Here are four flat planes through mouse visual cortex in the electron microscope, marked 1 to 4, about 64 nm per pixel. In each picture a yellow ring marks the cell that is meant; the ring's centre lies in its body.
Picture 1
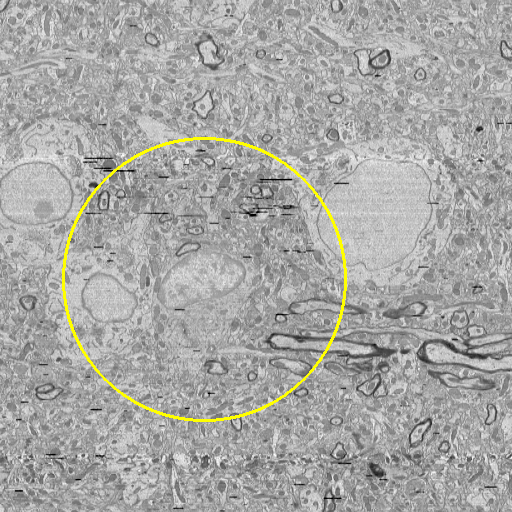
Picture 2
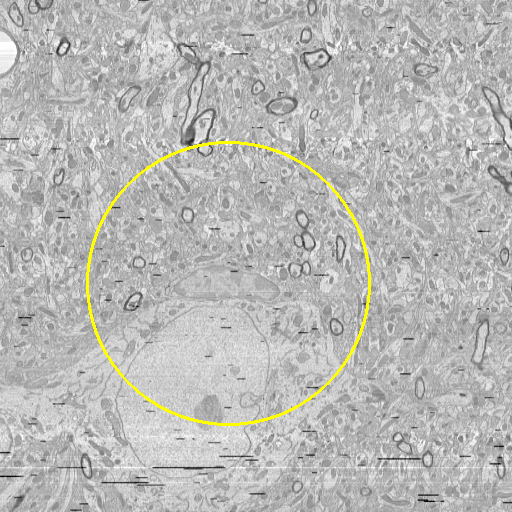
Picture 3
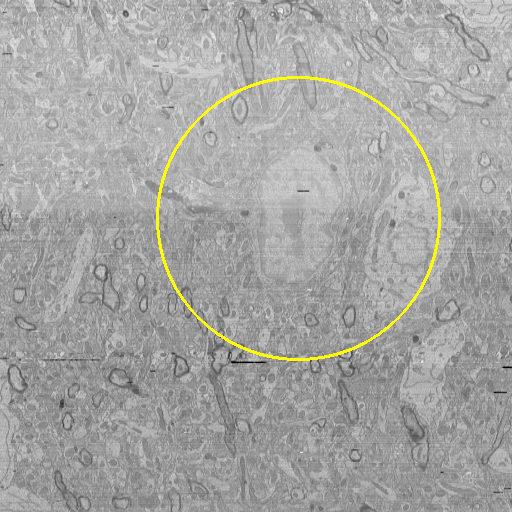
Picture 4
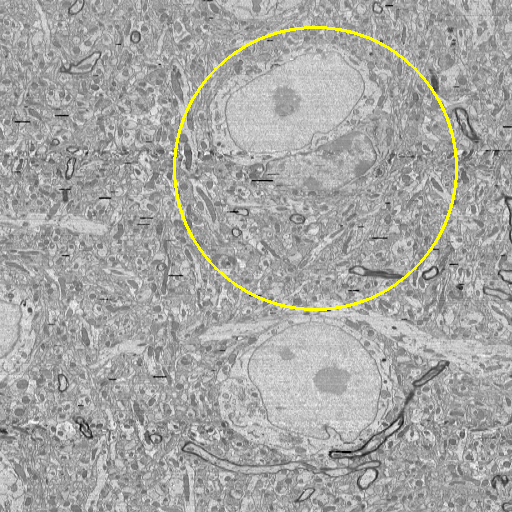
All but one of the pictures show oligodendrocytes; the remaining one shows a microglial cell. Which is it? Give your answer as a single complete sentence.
The microglial cell is the one in picture 2.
